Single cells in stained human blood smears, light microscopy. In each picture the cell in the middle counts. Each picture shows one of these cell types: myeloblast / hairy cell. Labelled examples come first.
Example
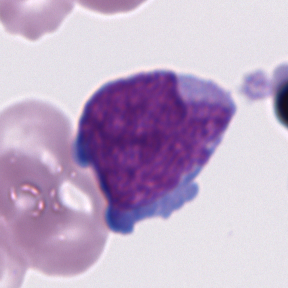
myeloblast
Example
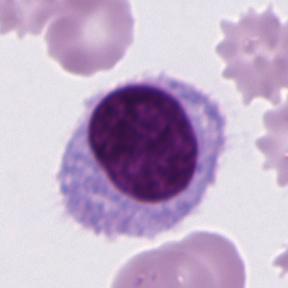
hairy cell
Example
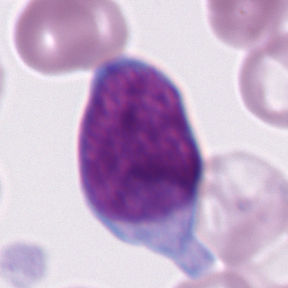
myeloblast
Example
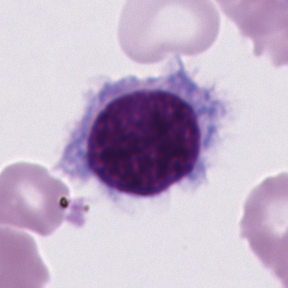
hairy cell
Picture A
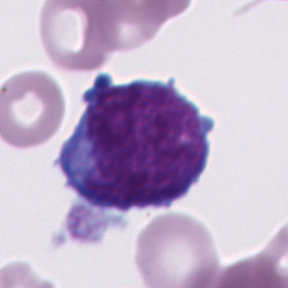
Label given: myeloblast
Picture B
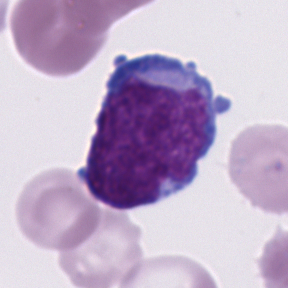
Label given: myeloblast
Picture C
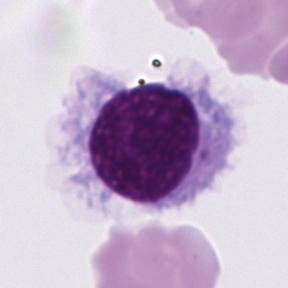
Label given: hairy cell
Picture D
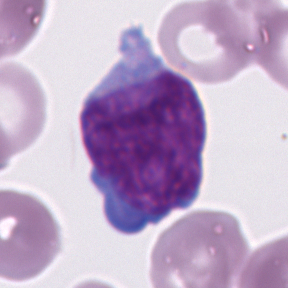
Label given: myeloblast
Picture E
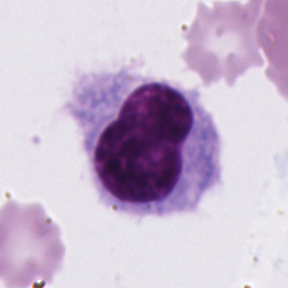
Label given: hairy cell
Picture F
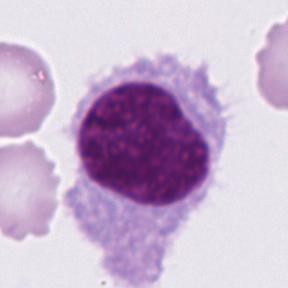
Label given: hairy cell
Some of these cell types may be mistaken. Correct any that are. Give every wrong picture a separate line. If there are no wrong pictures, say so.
None of the labels needs changing.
